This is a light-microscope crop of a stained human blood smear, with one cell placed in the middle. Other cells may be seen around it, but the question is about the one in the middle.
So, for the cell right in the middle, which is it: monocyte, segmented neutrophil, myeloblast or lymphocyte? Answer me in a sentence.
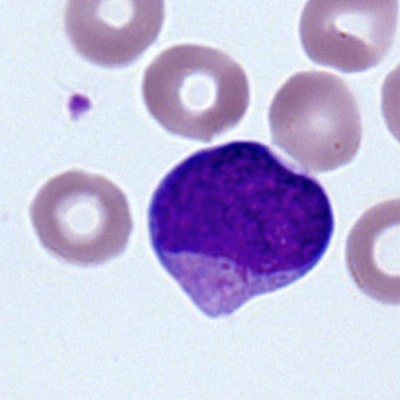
The crop shows a myeloblast in its centre.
